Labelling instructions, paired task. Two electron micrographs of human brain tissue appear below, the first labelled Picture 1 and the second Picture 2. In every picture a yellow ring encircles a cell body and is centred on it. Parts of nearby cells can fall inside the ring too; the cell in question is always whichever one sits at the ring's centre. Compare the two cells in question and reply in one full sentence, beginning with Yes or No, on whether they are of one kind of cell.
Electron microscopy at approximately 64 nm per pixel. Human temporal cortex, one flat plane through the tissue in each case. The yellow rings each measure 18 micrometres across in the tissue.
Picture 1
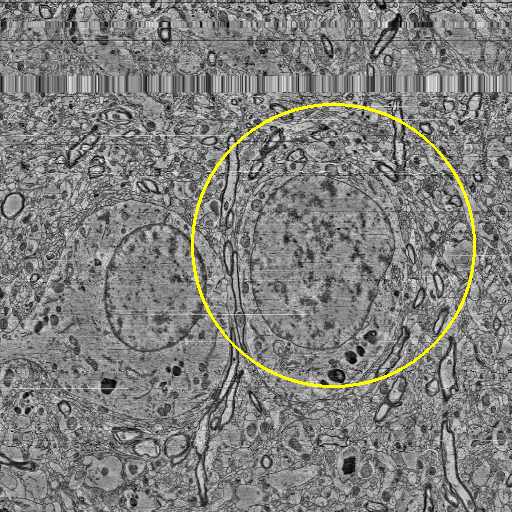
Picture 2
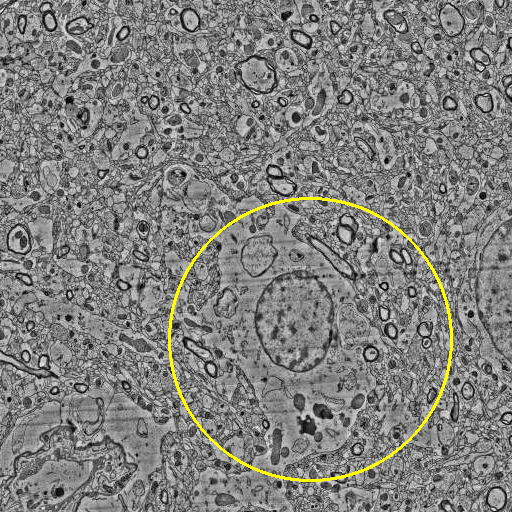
No, the two cells at the ring centres in Picture 1 and Picture 2 are of two kinds.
